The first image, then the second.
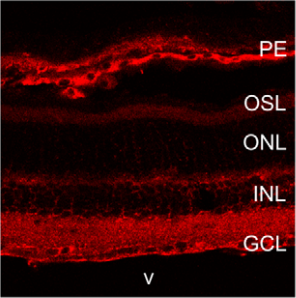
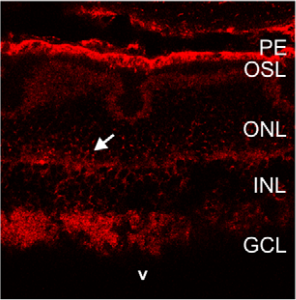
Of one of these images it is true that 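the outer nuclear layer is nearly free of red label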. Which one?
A: the first image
